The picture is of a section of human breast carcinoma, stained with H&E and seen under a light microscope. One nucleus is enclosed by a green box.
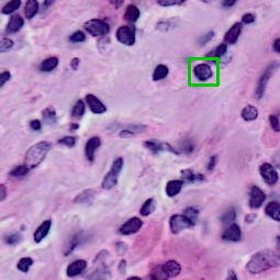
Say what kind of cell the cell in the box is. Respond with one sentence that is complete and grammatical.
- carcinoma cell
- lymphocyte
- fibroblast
What the cell in the box represents is a lymphocyte.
